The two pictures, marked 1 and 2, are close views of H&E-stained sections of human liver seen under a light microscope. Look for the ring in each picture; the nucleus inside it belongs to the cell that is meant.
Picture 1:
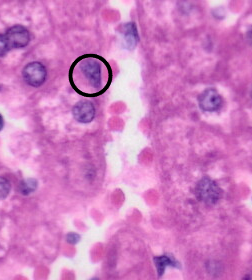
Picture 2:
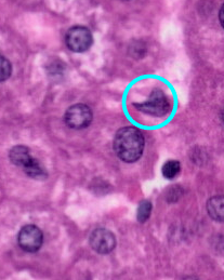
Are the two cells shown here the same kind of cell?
no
